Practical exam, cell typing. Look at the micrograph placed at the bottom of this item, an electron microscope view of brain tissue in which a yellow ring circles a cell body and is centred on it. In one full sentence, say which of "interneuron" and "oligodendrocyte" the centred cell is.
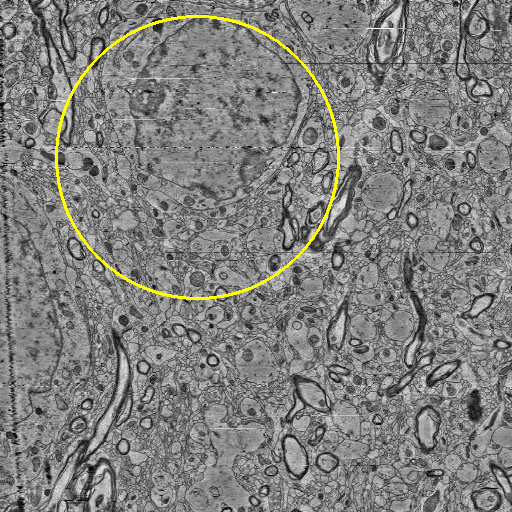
Given the options, an interneuron fits the cell whose body the yellow ring is centred on.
